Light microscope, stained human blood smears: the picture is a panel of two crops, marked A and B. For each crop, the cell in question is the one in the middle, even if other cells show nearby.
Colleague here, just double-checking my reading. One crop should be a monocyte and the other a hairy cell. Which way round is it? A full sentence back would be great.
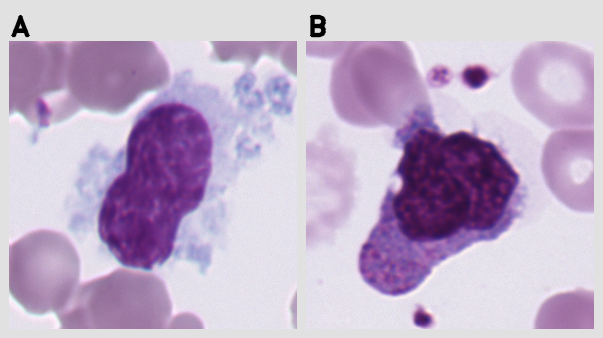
Crop A is occupied by a hairy cell, and crop B is occupied by a monocyte.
